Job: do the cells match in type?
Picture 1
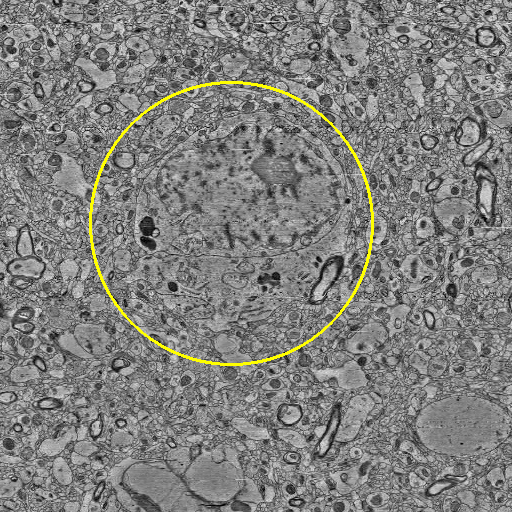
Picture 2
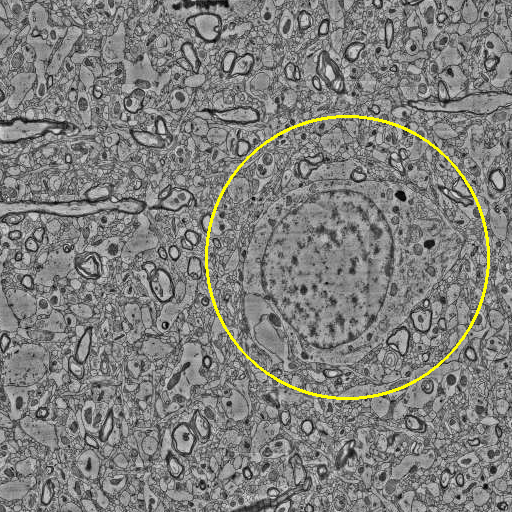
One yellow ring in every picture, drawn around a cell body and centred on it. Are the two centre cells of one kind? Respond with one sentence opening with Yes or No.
Yes, the ringed cells in the two pictures are of one and the same kind.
